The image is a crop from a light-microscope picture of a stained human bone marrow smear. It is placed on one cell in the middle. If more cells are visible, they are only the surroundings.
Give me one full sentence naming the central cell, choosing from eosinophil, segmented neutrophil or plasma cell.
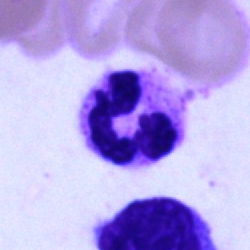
The identification for the central cell is a segmented neutrophil.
